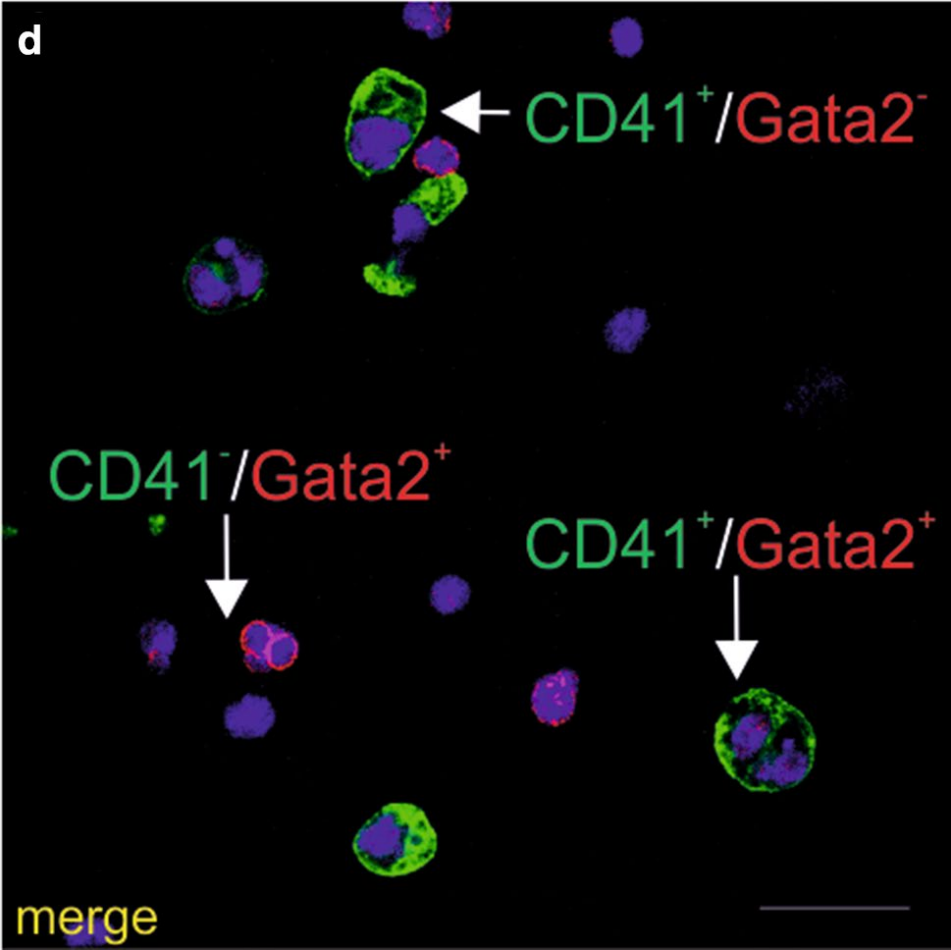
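This is a smear of loose, rounded cells spread singly and in small clusters on a dark background, each with a rounded blue nucleus. Several larger cells show green filling the cytoplasm around their nucleus, forming a broad rim or ring that encloses the blue nucleus. Other cells show a thin red ring hugging the edge of the nucleus, and a few show red dots over the nucleus, while many blue nuclei carry neither colour. A pair of small cells lies side by side with bright red rims, and some green cells carry a faint red speckling within.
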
